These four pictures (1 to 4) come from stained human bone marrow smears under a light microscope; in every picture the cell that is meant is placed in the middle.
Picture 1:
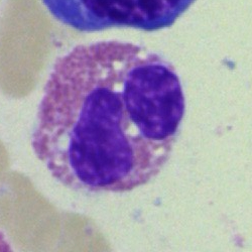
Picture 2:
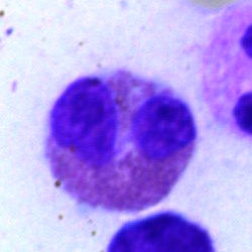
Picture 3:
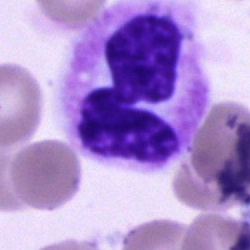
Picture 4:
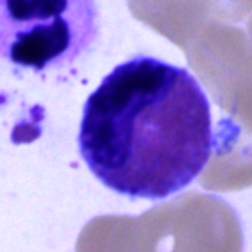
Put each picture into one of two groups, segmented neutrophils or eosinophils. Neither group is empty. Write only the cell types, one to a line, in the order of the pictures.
eosinophil
eosinophil
segmented neutrophil
eosinophil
